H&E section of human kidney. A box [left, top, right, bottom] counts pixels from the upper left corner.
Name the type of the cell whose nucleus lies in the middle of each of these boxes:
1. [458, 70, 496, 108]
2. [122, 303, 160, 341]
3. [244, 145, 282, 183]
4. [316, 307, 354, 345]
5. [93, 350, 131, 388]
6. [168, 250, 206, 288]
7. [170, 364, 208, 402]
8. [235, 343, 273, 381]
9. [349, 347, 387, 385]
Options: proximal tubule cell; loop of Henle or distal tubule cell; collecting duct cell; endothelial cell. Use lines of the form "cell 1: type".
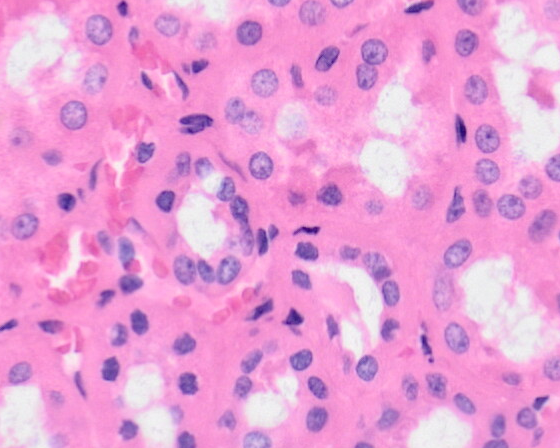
cell 1: proximal tubule cell
cell 2: loop of Henle or distal tubule cell
cell 3: proximal tubule cell
cell 4: loop of Henle or distal tubule cell
cell 5: loop of Henle or distal tubule cell
cell 6: collecting duct cell
cell 7: loop of Henle or distal tubule cell
cell 8: collecting duct cell
cell 9: loop of Henle or distal tubule cell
